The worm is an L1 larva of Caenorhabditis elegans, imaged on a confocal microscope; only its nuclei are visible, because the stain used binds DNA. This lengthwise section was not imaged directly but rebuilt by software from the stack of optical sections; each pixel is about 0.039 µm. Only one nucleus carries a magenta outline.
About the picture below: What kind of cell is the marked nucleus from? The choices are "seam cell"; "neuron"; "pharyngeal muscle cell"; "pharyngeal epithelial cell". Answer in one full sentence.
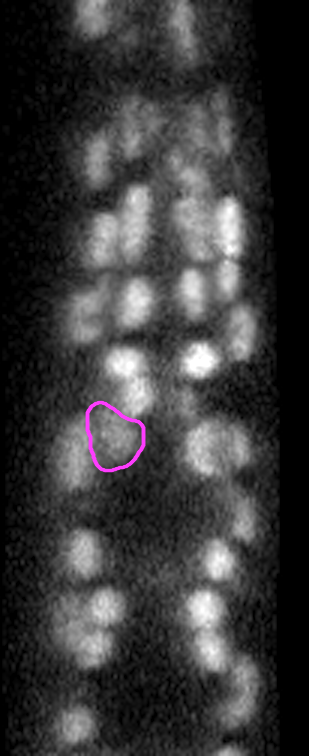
It is the nucleus of a pharyngeal muscle cell.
